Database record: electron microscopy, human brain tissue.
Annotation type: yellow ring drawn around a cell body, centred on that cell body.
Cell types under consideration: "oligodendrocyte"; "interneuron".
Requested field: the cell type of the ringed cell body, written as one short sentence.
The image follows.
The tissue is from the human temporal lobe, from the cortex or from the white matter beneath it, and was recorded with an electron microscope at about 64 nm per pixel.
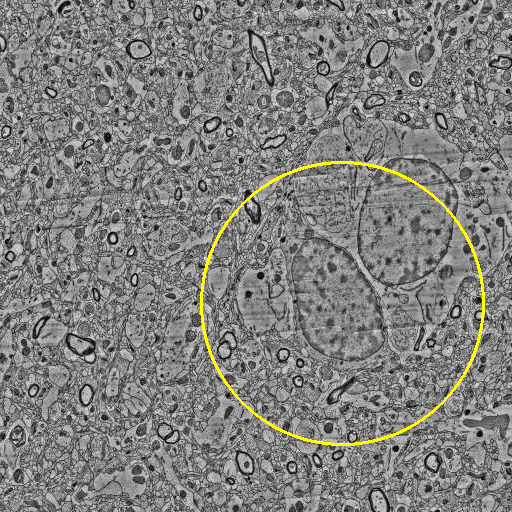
The ringed cell body represents an oligodendrocyte.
